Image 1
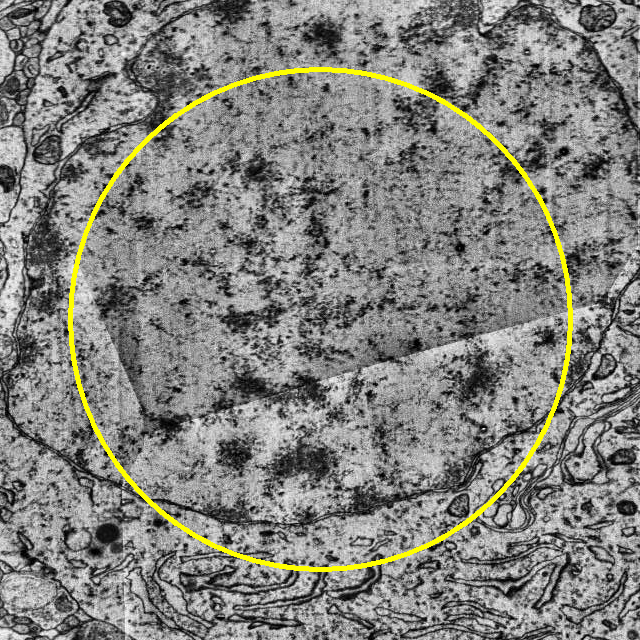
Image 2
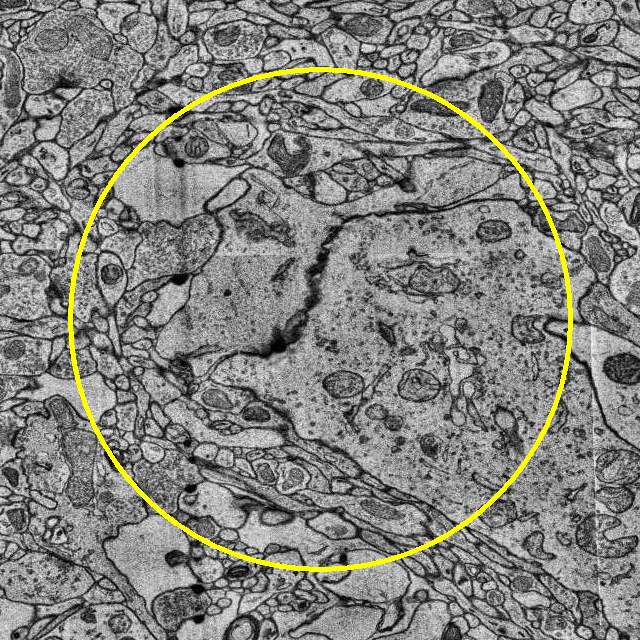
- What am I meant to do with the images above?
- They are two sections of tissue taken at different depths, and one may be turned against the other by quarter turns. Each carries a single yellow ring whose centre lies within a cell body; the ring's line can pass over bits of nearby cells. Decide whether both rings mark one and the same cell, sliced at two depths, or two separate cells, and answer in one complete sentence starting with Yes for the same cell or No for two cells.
No, the rings mark two cells rather than a single cell.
